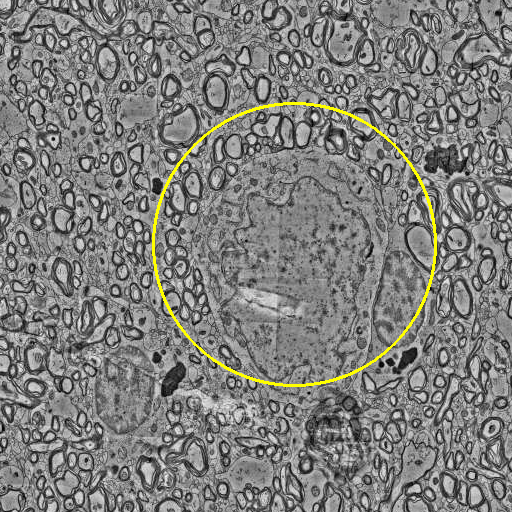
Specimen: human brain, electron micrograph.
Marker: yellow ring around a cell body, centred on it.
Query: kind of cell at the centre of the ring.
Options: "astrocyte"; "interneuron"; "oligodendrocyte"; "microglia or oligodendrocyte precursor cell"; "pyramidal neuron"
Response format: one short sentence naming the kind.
This cell body belongs to an interneuron.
